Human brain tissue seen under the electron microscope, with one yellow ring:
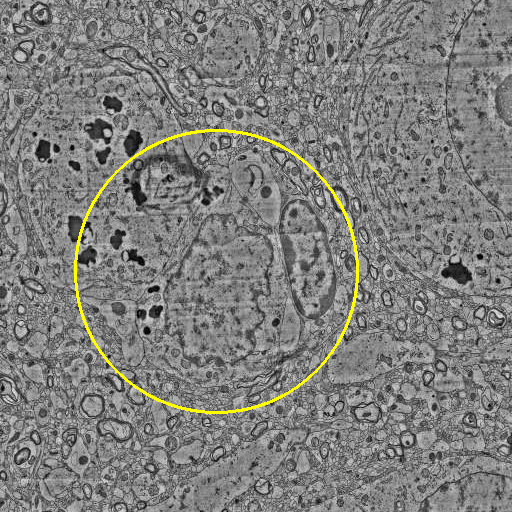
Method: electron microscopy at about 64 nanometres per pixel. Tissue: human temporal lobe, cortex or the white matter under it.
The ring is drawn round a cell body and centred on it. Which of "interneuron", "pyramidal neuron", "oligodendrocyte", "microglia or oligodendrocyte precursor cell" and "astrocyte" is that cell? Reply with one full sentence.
The picture shows an interneuron at the very centre of the yellow ring.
